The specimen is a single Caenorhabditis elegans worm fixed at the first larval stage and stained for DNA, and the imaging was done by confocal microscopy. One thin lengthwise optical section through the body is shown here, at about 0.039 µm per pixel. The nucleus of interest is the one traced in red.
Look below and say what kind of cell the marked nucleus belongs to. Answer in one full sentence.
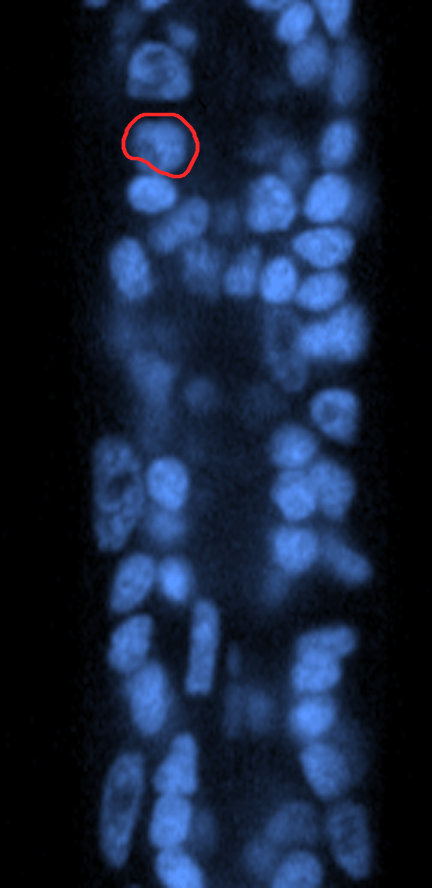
This is the nucleus of a pharyngeal muscle cell.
